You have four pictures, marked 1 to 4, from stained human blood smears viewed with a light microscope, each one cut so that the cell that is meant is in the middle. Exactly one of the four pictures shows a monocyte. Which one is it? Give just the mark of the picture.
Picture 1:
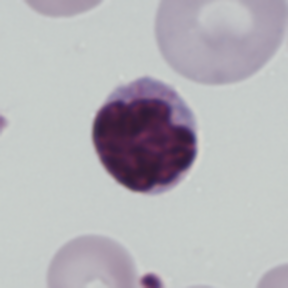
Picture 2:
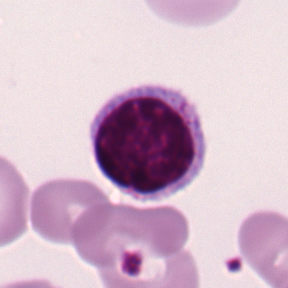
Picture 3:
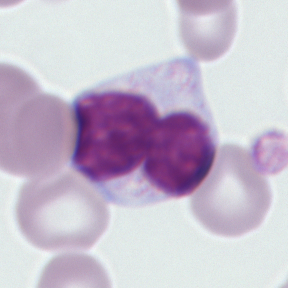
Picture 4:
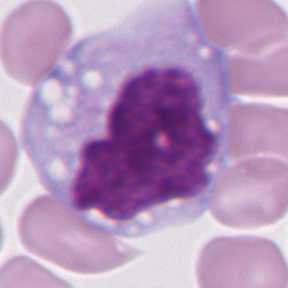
4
